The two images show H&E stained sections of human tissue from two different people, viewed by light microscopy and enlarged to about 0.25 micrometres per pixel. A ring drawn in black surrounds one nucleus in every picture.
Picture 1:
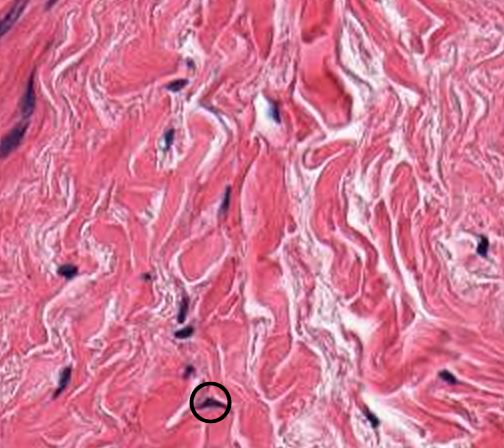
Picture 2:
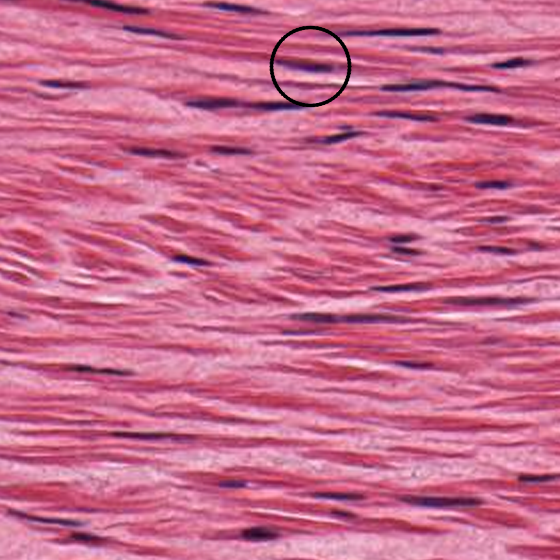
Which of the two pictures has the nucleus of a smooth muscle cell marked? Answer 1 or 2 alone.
2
